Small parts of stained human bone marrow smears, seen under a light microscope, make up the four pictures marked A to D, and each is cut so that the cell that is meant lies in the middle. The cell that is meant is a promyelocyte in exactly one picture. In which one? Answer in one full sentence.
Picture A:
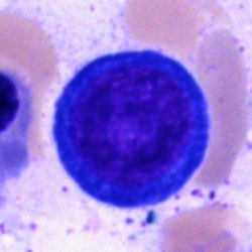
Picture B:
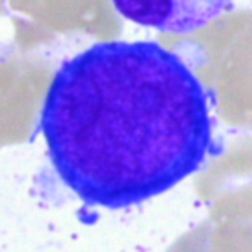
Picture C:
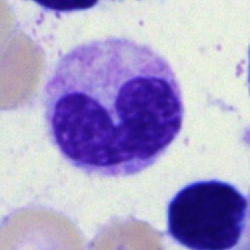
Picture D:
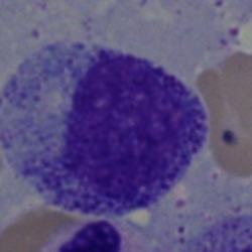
The promyelocyte is the one in picture D.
